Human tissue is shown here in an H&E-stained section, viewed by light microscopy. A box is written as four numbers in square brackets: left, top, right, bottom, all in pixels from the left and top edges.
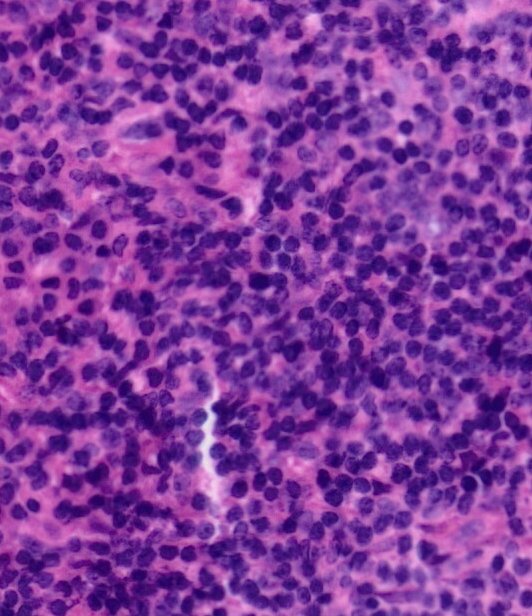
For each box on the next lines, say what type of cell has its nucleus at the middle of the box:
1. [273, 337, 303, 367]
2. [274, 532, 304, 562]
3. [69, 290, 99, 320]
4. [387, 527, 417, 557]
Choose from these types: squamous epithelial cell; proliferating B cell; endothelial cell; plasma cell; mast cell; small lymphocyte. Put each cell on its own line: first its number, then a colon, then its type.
1: small lymphocyte
2: small lymphocyte
3: plasma cell
4: small lymphocyte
